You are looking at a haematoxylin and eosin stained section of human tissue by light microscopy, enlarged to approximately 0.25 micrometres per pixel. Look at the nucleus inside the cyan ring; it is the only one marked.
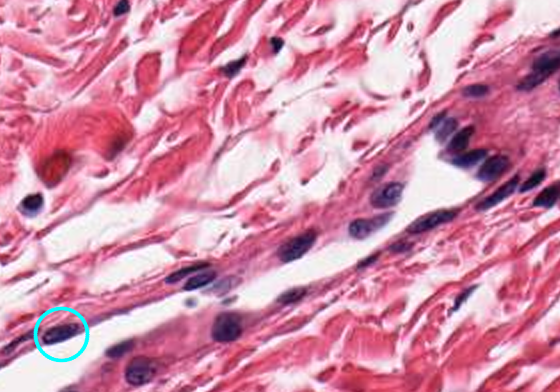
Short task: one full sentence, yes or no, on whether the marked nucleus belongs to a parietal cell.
No, the marked nucleus has its place in a supporting cell rather than in a parietal cell.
